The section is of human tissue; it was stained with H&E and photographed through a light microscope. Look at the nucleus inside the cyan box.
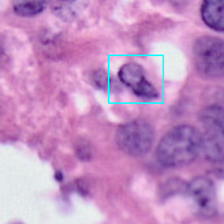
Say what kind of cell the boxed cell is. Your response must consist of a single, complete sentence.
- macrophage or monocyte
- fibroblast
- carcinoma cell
In the tissue under study, the boxed cell is a macrophage or monocyte.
